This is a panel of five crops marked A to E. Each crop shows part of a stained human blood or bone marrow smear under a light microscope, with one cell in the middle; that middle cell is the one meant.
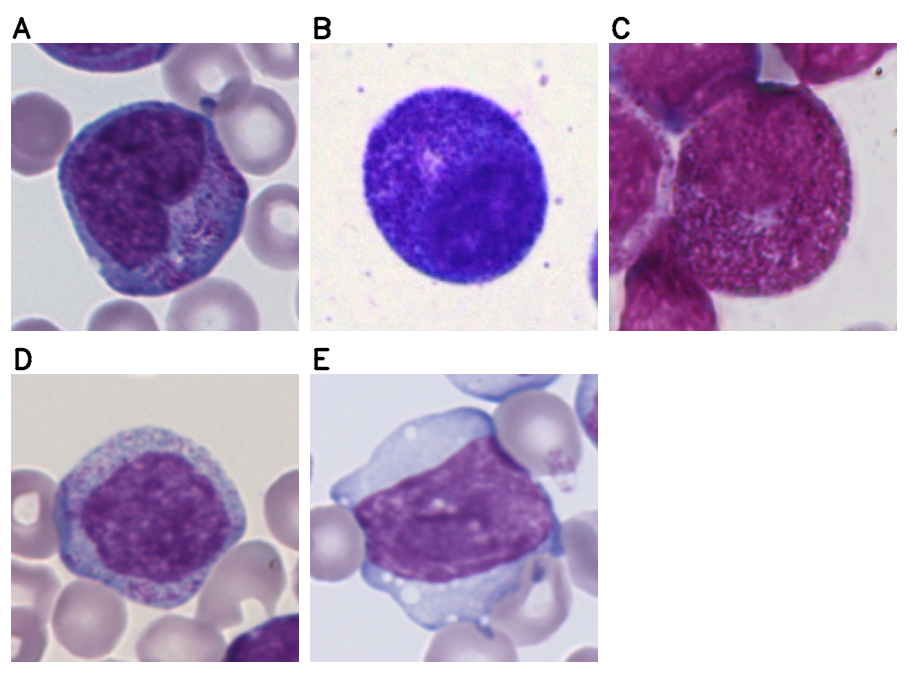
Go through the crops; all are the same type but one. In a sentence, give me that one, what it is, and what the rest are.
Crop E differs from the others in showing a blast; the rest all show promyelocytes.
